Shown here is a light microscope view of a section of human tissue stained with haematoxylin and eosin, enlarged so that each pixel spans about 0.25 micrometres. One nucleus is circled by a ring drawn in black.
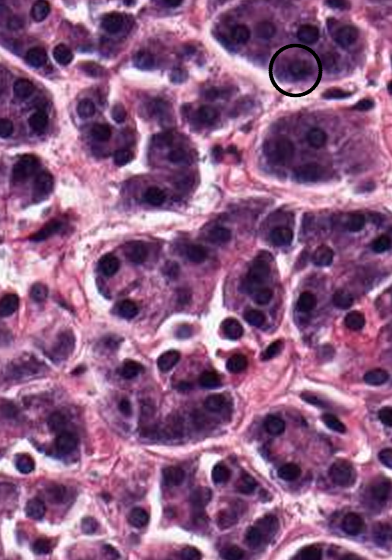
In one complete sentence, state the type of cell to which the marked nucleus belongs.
The nucleus indicated by the mark belongs to a pancreatic acinar cell.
